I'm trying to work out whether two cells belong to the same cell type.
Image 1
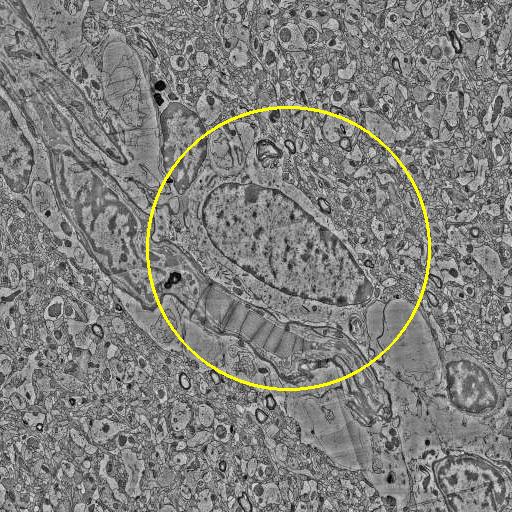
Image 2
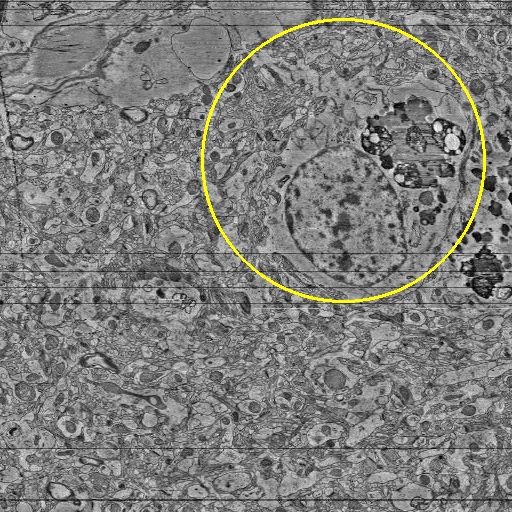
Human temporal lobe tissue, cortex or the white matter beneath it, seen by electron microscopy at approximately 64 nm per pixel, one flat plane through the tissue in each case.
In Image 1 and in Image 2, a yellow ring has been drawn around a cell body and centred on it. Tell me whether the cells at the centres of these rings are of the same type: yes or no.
no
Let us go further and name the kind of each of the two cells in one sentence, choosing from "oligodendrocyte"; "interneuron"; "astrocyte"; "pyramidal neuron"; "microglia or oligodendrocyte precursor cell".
The ring of the first picture is on a microglial cell or oligodendrocyte precursor cell, the ring of the second on an astrocyte.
